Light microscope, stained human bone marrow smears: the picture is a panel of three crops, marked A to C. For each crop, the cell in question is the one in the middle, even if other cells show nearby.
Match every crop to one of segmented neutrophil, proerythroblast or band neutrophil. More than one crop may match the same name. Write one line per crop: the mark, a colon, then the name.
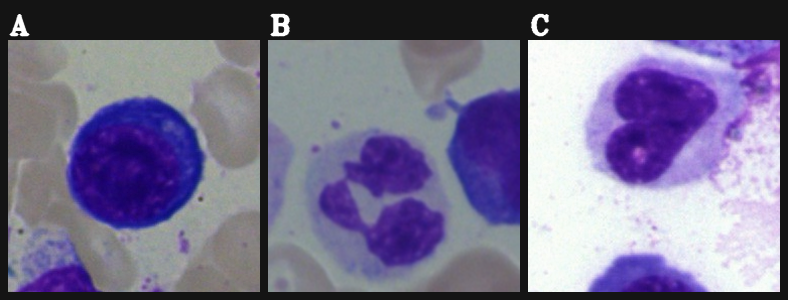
A: proerythroblast
B: segmented neutrophil
C: band neutrophil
